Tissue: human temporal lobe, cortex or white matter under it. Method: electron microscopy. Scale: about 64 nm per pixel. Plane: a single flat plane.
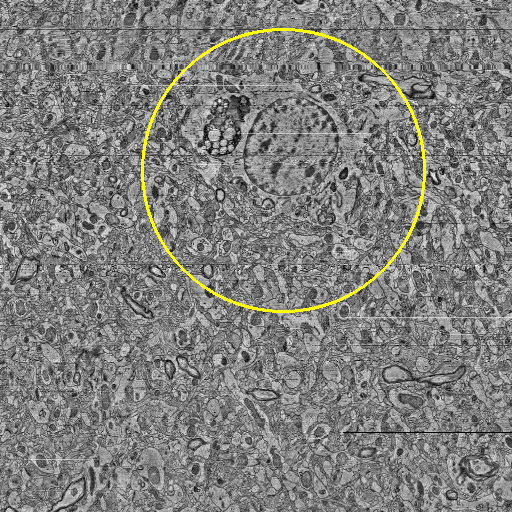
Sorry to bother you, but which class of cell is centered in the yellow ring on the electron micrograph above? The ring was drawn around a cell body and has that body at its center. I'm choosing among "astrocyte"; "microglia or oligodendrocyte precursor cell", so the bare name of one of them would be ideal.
astrocyte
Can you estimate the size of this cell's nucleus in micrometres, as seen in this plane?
In this plane, roughly 6 micrometres across.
